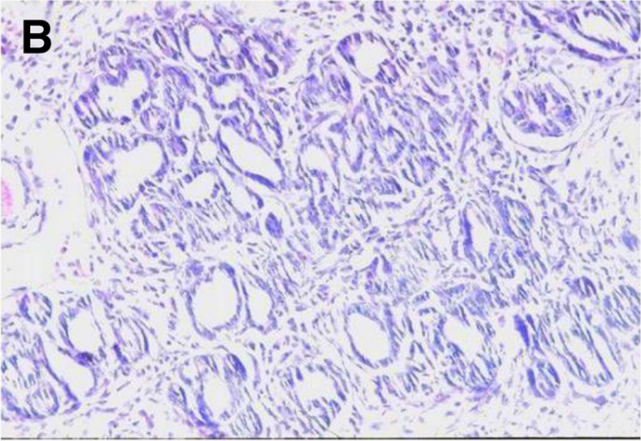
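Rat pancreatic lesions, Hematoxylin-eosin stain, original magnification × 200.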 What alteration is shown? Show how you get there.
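Numerous crowded gland-like ducts with open lumens fill the field. The ducts are lined by elongated, dark, crowded nuclei.
Hence: Well-differentiated ductal adenocarcinoma.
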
